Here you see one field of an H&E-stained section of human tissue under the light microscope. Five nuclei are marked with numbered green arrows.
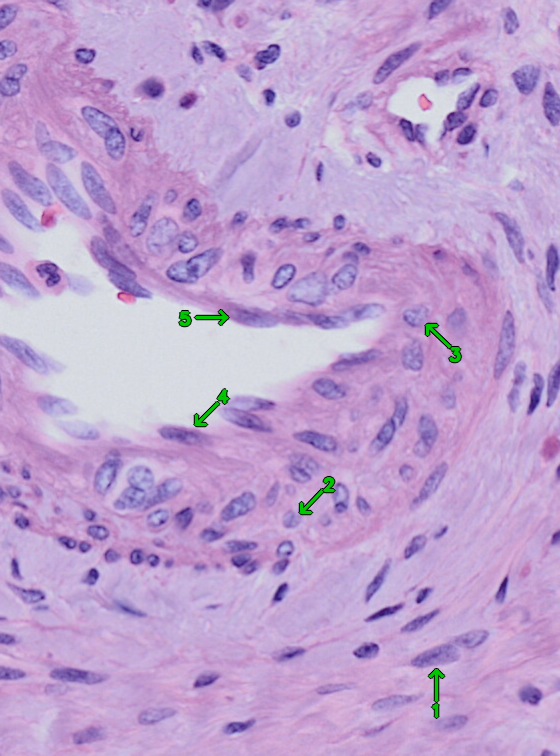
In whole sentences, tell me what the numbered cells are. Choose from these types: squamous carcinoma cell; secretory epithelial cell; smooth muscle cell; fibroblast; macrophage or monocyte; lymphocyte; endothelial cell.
Cell 1 is a fibroblast. Cells 2 and 3 are smooth muscle cells. Cells 4 and 5 are endothelial cells.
